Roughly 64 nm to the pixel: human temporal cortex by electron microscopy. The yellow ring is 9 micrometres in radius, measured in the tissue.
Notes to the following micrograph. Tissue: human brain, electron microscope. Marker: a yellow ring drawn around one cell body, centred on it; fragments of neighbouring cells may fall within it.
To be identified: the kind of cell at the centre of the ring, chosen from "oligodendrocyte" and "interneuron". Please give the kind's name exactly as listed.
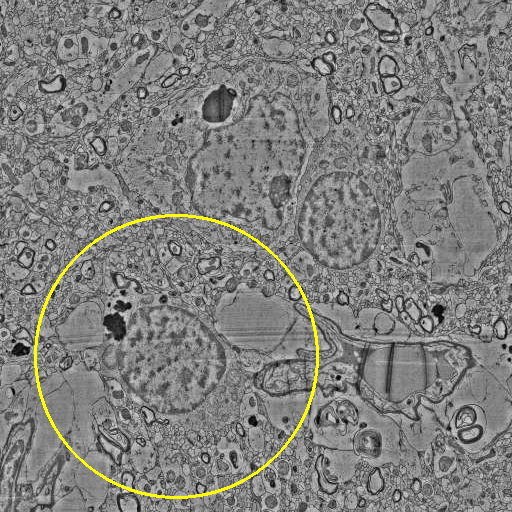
oligodendrocyte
